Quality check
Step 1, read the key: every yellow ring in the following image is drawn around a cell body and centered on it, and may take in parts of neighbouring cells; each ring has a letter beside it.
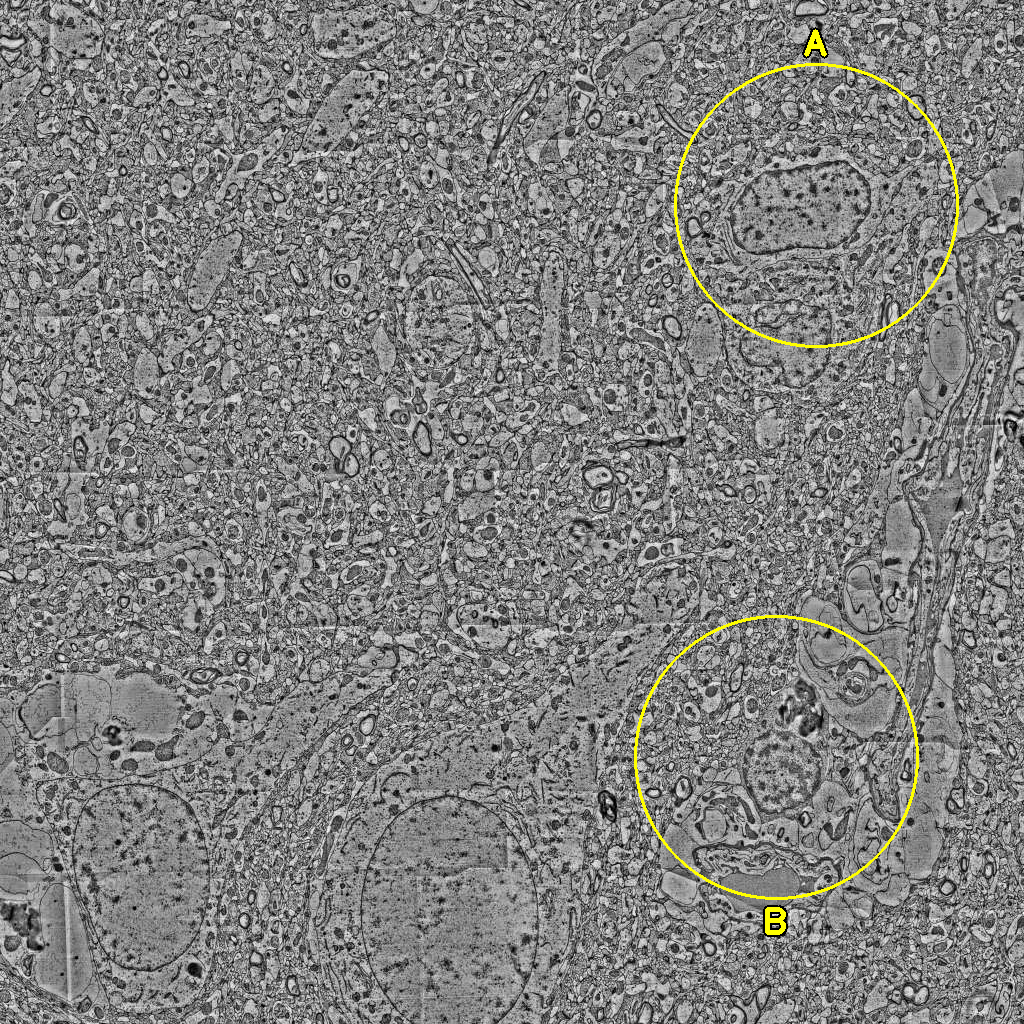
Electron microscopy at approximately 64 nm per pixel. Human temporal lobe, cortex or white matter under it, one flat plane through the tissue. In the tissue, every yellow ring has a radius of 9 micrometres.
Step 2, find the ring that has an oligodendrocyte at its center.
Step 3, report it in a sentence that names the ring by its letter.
Ring B is centered on that cell.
